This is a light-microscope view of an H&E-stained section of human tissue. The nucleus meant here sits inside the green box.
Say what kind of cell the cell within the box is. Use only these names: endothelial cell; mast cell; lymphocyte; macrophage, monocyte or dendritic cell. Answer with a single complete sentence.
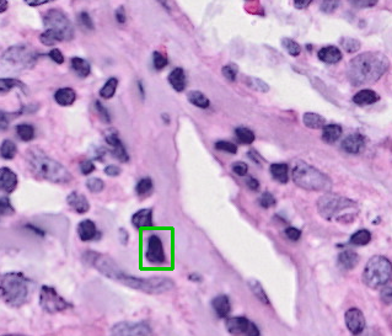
It is as a lymphocyte that the cell within the box is classified.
